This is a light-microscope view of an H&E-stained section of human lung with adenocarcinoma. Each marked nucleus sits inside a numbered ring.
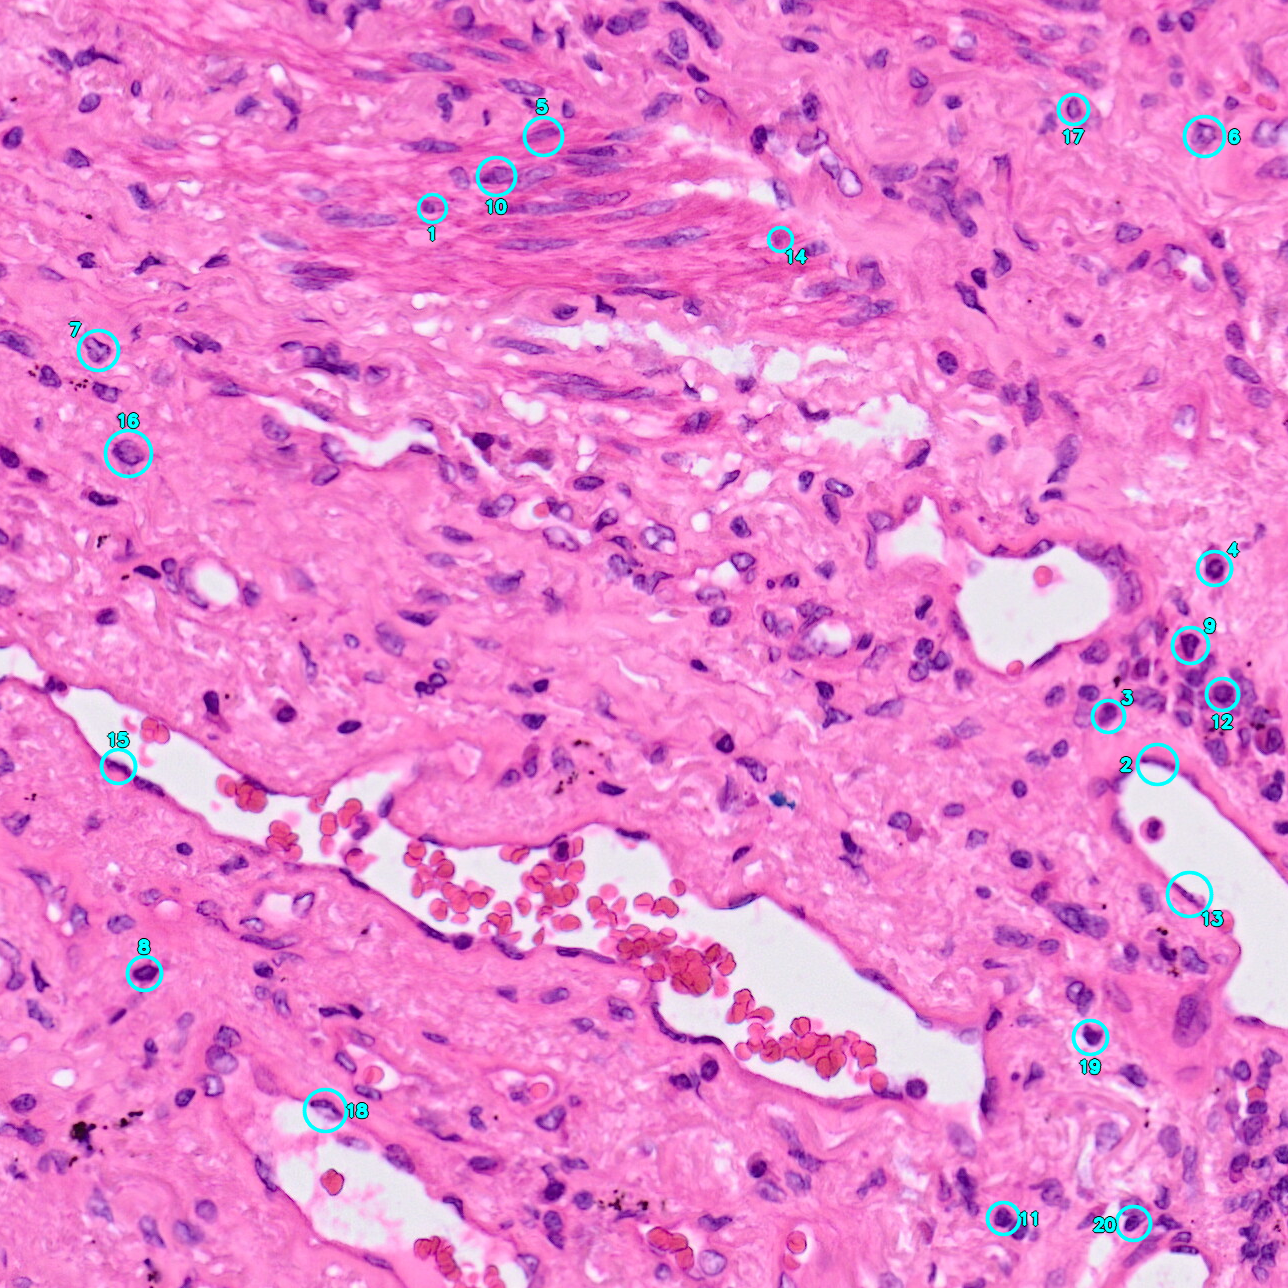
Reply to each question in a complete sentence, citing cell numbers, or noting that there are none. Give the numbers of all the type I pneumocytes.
Checking each numbered cell, none of them turn out to be type I pneumocytes.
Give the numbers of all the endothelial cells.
The cells the numbers 2, 13, 15 and 18 point to are endothelial cells.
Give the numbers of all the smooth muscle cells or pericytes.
In this section, the cells labelled 1, 5, 10 and 14 are smooth muscle cells or pericytes.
